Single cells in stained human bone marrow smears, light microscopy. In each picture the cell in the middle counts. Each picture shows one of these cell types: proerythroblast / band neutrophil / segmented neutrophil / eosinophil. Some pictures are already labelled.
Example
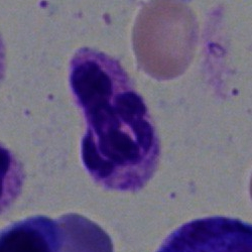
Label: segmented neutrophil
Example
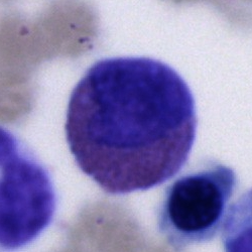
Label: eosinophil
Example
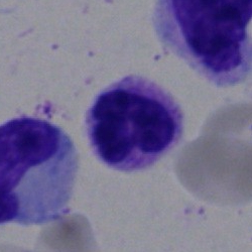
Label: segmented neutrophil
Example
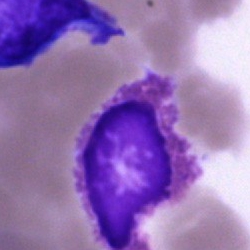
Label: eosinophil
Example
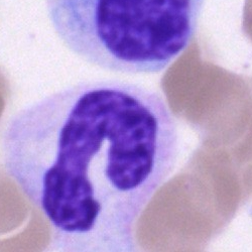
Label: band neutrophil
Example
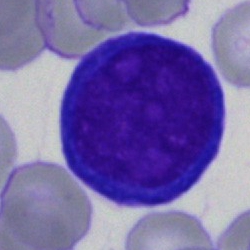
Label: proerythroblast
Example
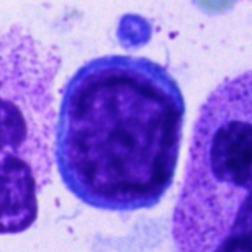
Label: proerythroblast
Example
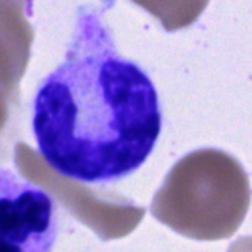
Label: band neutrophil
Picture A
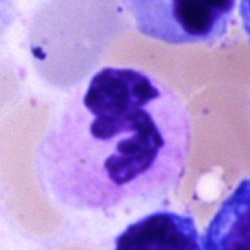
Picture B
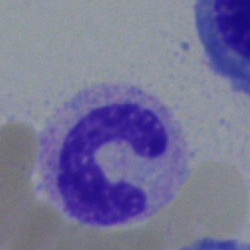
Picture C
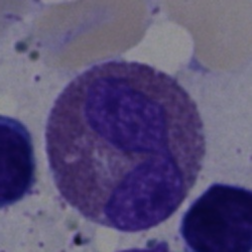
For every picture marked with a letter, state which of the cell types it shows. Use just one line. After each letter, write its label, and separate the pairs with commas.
A segmented neutrophil, B band neutrophil, C eosinophil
